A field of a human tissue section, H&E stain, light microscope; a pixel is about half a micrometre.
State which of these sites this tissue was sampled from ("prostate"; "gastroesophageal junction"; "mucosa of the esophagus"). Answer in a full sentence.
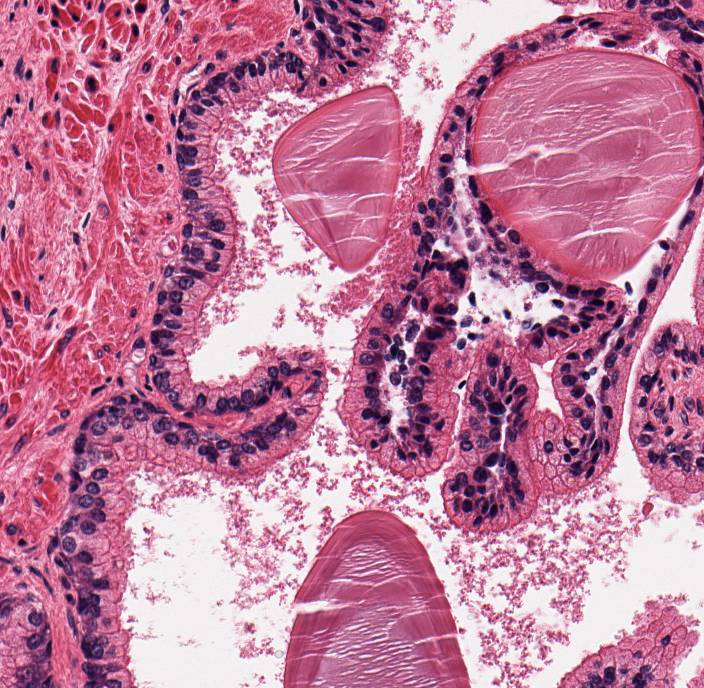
The site this tissue was sampled from is the prostate.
